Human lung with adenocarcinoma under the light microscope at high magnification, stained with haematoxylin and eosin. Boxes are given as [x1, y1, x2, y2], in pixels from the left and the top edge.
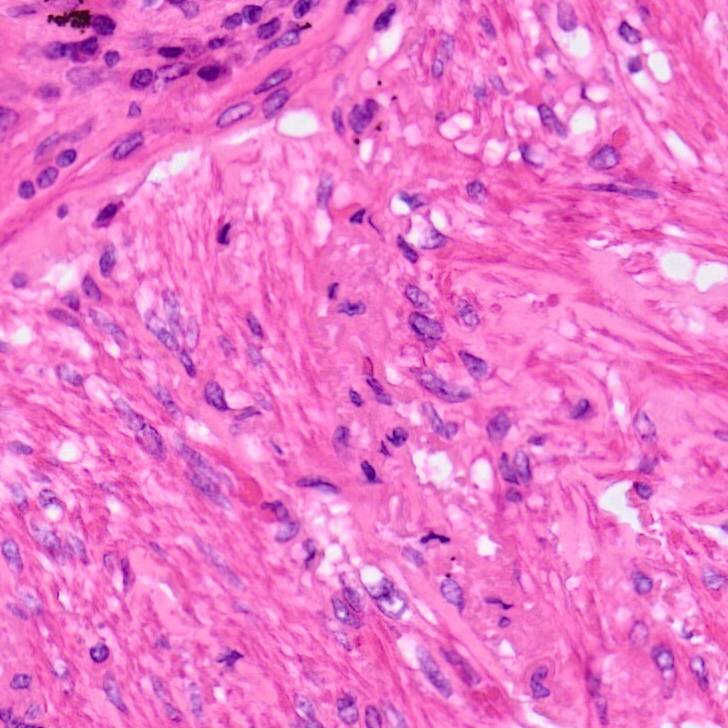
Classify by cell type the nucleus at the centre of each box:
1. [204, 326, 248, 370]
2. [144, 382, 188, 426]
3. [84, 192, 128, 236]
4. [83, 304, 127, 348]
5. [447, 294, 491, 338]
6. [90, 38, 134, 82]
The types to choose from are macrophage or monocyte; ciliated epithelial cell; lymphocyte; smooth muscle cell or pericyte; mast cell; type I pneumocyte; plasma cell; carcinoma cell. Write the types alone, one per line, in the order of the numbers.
smooth muscle cell or pericyte
smooth muscle cell or pericyte
plasma cell
smooth muscle cell or pericyte
smooth muscle cell or pericyte
lymphocyte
